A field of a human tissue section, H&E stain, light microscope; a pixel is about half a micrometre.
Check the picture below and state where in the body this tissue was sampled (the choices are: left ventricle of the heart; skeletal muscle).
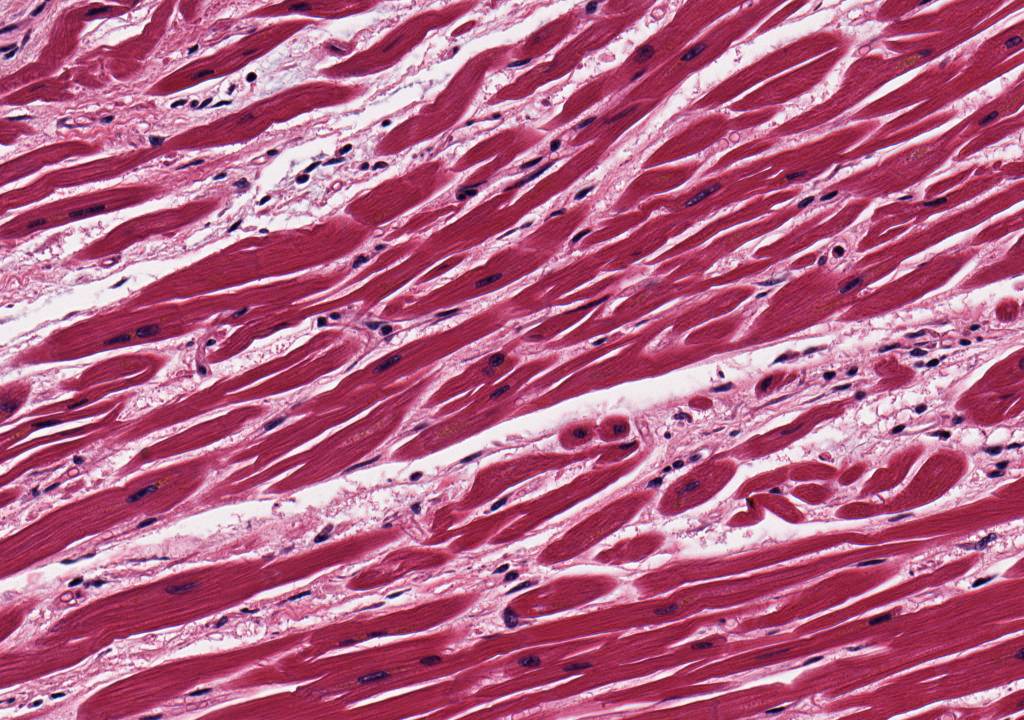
left ventricle of the heart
